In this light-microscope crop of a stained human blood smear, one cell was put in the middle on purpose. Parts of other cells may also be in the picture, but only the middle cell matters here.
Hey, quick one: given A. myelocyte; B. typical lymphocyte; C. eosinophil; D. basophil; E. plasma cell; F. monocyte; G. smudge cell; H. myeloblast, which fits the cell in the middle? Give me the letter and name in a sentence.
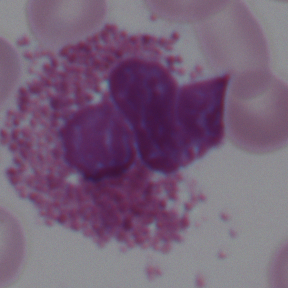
Option C is right in identifying the central cell as an eosinophil.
